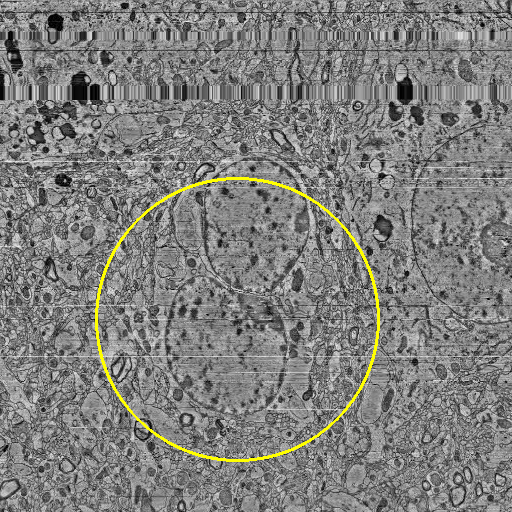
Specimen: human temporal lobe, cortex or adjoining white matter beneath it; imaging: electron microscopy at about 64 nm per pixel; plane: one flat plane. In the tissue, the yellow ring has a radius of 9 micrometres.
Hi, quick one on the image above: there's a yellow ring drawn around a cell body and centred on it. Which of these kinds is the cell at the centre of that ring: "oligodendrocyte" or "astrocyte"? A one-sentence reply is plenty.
The cell at the centre of the ring is an astrocyte.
